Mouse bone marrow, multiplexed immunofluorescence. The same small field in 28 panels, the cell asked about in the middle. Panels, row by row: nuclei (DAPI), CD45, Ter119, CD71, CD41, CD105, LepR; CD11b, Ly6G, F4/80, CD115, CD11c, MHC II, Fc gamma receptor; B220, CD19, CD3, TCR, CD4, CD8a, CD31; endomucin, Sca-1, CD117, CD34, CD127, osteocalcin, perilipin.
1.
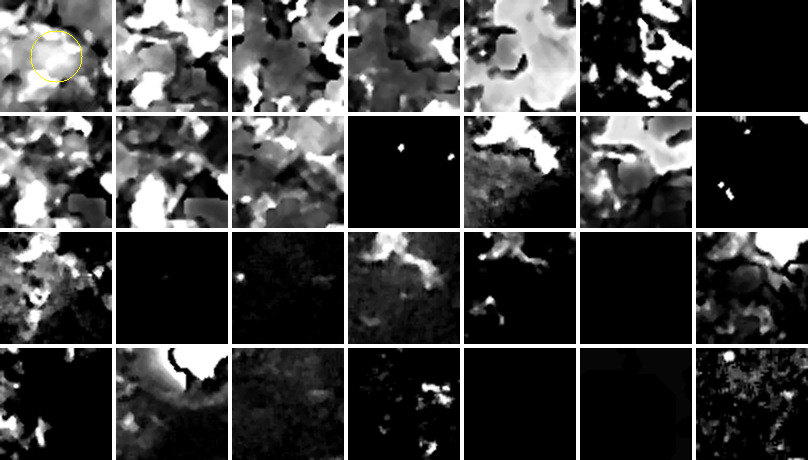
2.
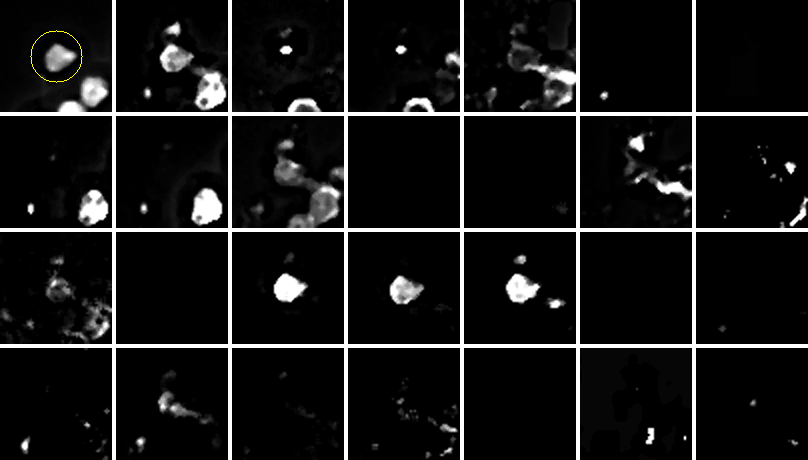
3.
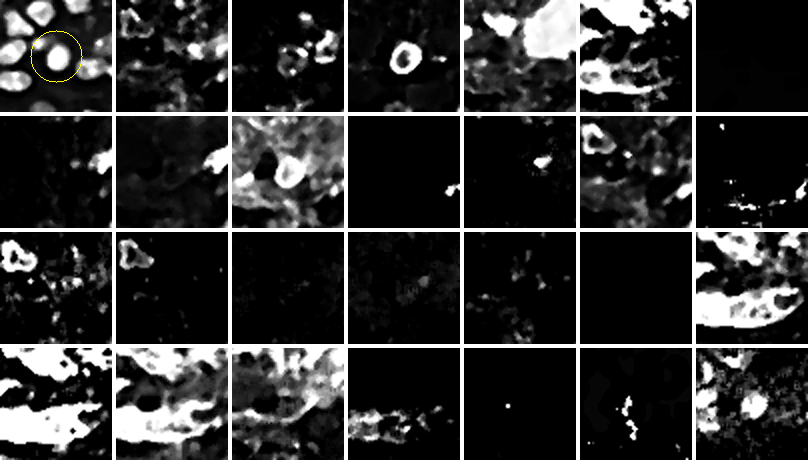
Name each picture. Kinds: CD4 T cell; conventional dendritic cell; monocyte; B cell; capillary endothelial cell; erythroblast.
Picture 1: conventional dendritic cell
Picture 2: CD4 T cell
Picture 3: erythroblast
